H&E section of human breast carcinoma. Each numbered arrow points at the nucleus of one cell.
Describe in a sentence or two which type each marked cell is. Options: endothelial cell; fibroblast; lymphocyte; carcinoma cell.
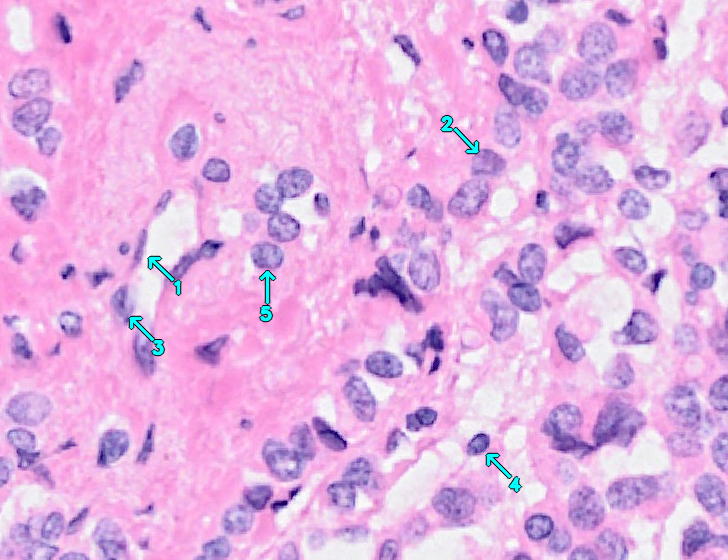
Cell 1 is an endothelial cell, cell 2 is a carcinoma cell, cell 3 is an endothelial cell, cell 4 is a lymphocyte and cell 5 is a carcinoma cell.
